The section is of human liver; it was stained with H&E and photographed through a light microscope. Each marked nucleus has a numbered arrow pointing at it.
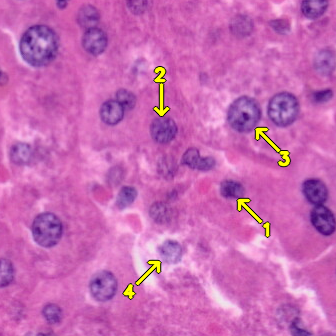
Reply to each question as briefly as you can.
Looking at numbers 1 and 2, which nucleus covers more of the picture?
2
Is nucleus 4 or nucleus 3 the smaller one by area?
4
